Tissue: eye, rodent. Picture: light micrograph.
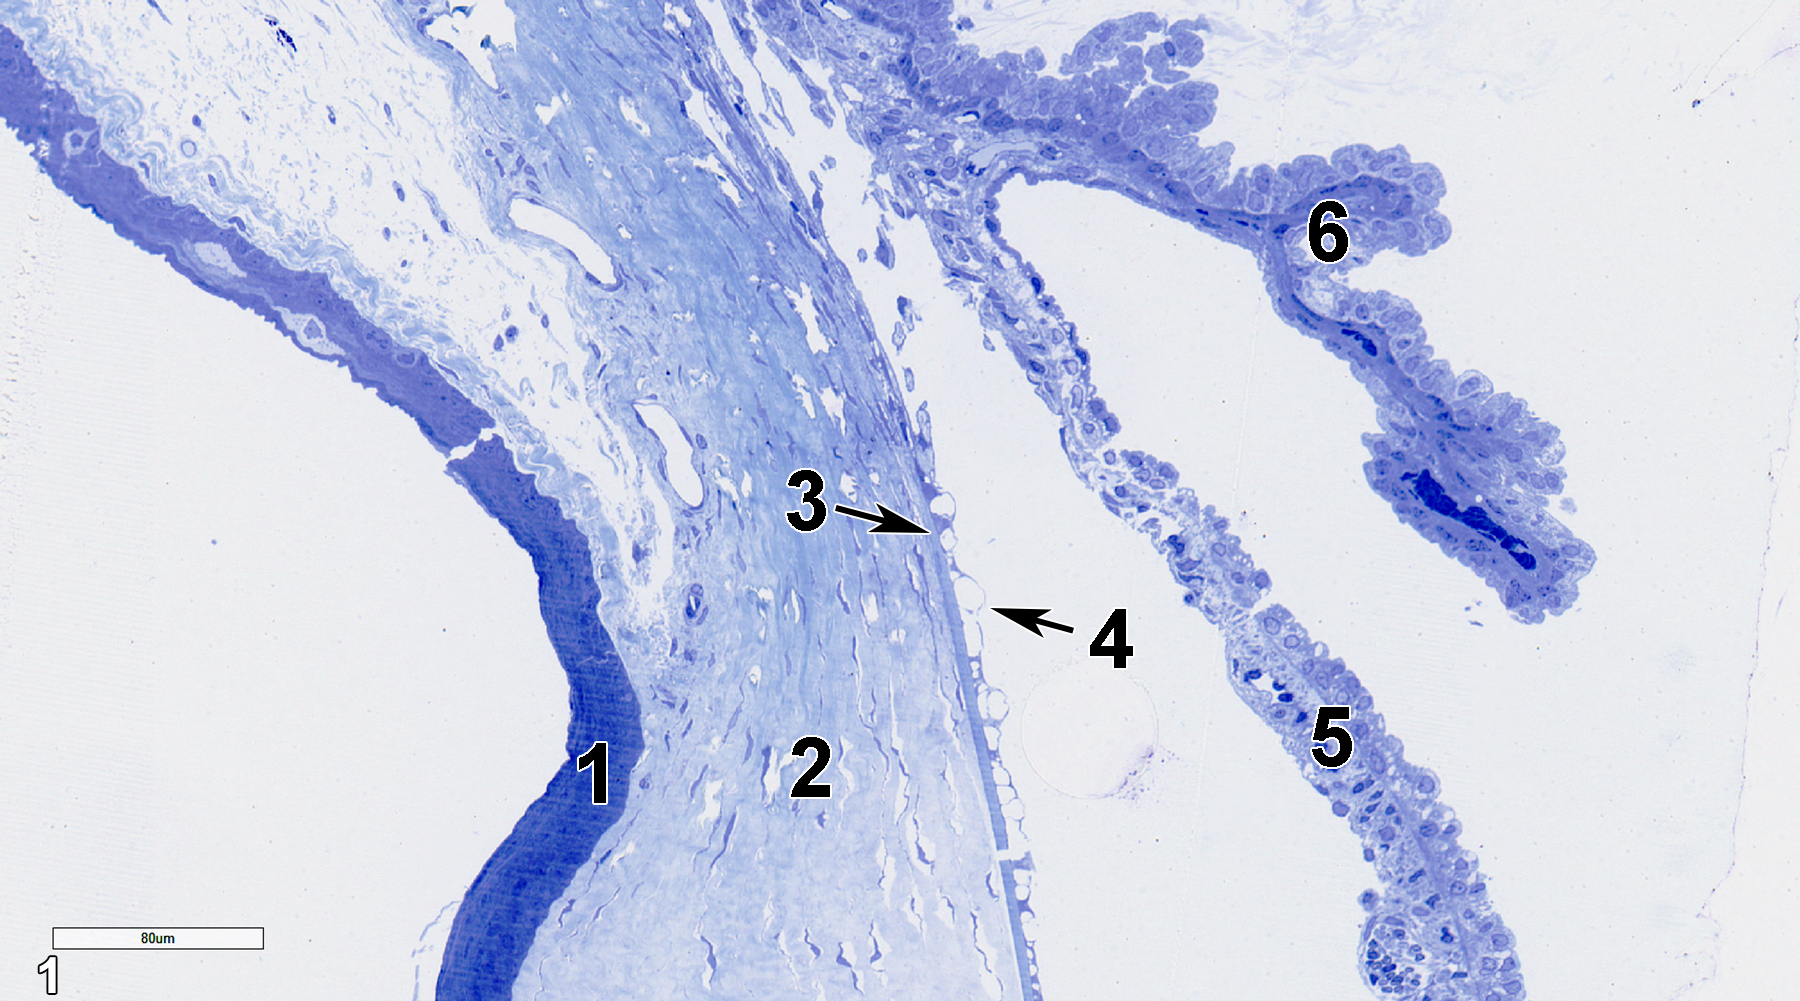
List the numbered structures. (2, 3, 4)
2: corneal stroma
3: Descemet’s membrane
4: corneal endothelium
